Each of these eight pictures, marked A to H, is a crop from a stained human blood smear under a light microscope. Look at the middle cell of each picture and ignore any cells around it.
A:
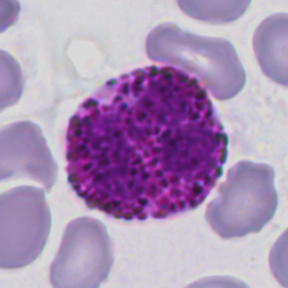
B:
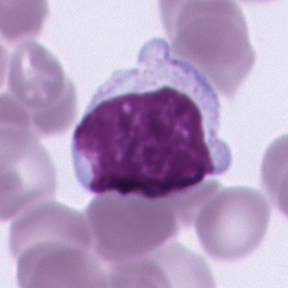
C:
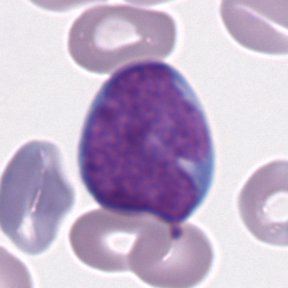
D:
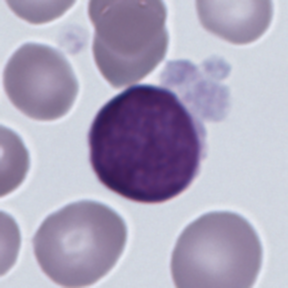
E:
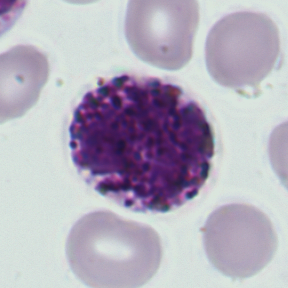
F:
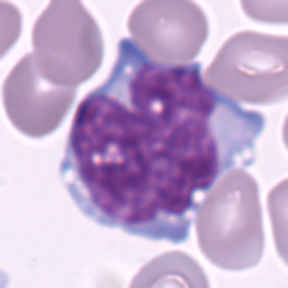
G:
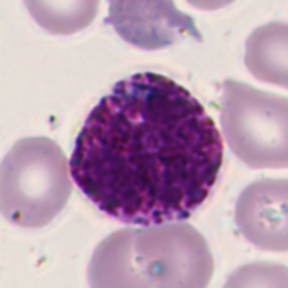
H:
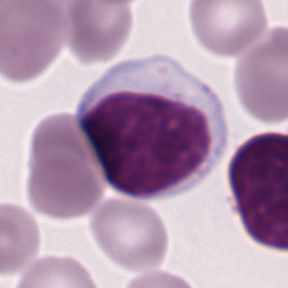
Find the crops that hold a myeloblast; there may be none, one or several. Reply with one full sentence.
In the series, crops C, D and F show myeloblasts.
